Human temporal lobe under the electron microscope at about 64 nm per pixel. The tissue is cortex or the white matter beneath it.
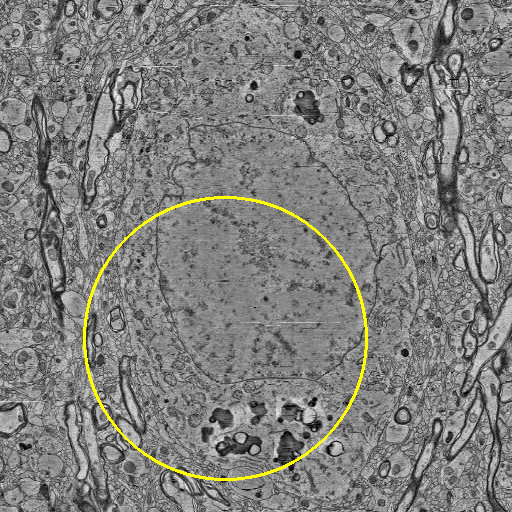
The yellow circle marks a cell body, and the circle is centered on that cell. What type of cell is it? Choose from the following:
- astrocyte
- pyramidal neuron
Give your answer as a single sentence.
This cell body belongs to a pyramidal neuron.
